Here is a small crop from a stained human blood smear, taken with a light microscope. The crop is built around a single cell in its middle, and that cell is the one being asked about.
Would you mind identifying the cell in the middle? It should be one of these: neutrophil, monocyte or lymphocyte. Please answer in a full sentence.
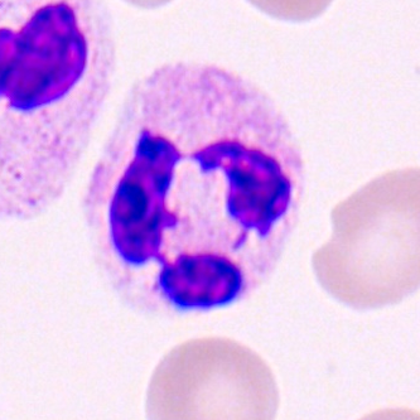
This particular crop is centered on a neutrophil.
